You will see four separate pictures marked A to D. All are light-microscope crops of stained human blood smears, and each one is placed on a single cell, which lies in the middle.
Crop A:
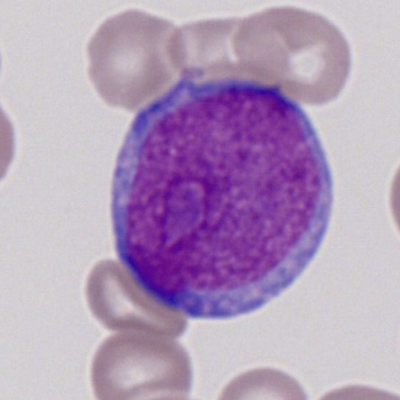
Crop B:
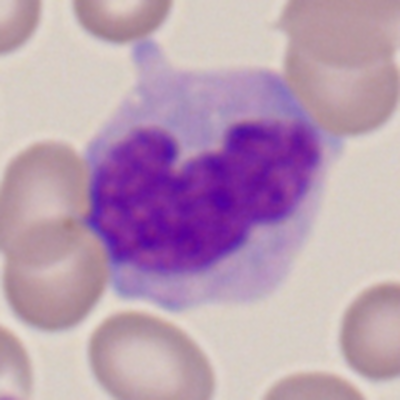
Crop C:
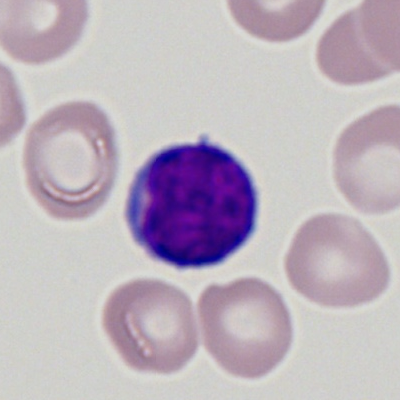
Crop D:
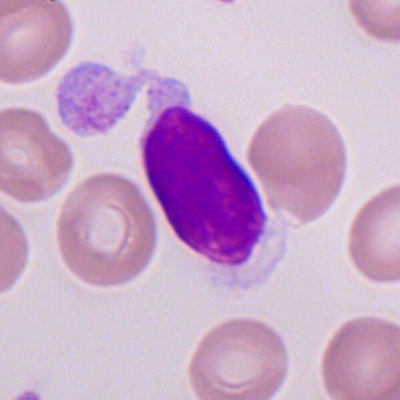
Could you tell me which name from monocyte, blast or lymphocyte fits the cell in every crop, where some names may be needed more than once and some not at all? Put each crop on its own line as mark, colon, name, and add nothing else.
A: blast
B: monocyte
C: lymphocyte
D: lymphocyte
